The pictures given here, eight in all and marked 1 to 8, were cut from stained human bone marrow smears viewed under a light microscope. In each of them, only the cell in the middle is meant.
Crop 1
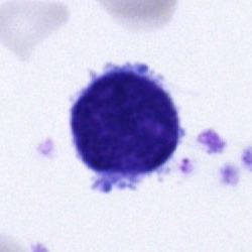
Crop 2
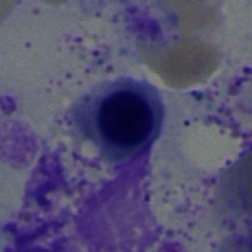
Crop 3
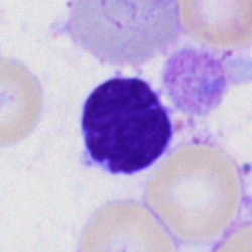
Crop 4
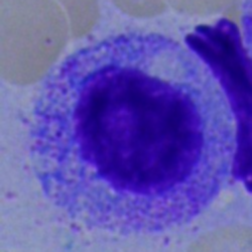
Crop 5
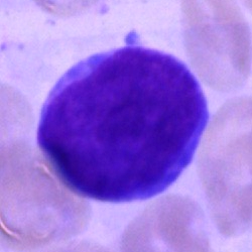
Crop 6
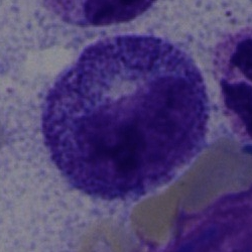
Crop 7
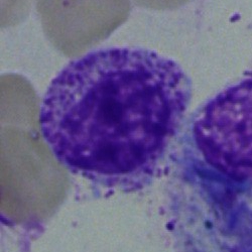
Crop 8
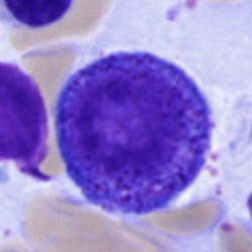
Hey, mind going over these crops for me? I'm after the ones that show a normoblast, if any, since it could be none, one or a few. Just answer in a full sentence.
The central cell is a normoblast in crop 2 only.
